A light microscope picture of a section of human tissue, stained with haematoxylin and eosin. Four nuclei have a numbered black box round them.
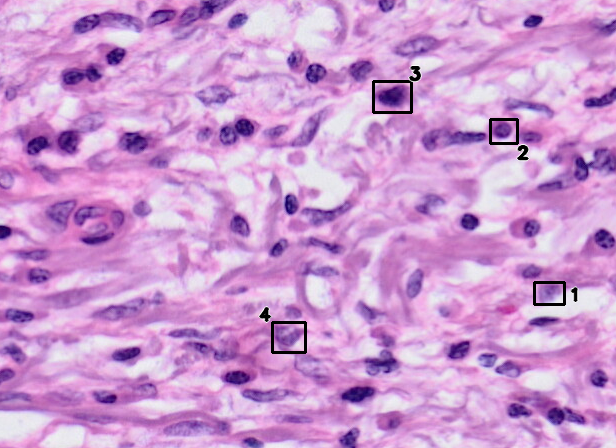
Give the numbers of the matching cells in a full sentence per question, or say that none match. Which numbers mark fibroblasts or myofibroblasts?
As for the numbered cells, only cell 4 is a fibroblast or myofibroblast.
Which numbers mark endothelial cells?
Cell 1 is an endothelial cell, and that holds for no other numbered cell.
